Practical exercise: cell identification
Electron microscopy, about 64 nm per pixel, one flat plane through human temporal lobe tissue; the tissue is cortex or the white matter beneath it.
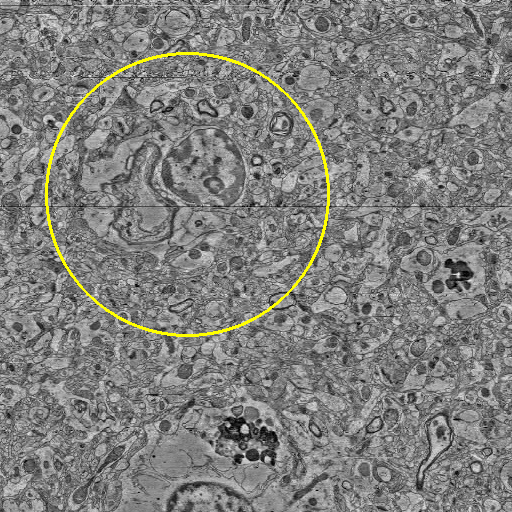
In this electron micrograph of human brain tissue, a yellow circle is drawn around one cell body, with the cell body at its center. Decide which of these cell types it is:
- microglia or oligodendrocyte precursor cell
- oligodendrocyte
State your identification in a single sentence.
The ringed cell is a microglial cell or oligodendrocyte precursor cell.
